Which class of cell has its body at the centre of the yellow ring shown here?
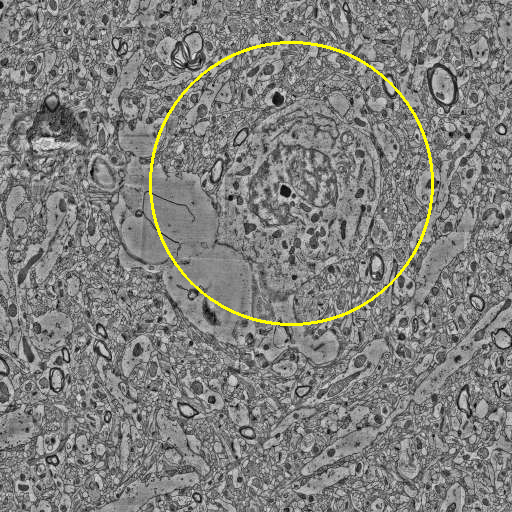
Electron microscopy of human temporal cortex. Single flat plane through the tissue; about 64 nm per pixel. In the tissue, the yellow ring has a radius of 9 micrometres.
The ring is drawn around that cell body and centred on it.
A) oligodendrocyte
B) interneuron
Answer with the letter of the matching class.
B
